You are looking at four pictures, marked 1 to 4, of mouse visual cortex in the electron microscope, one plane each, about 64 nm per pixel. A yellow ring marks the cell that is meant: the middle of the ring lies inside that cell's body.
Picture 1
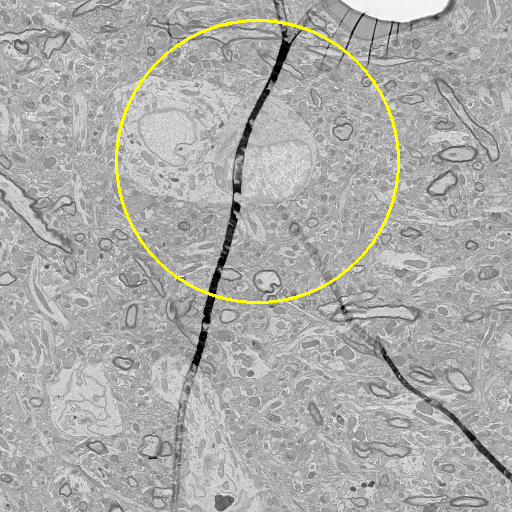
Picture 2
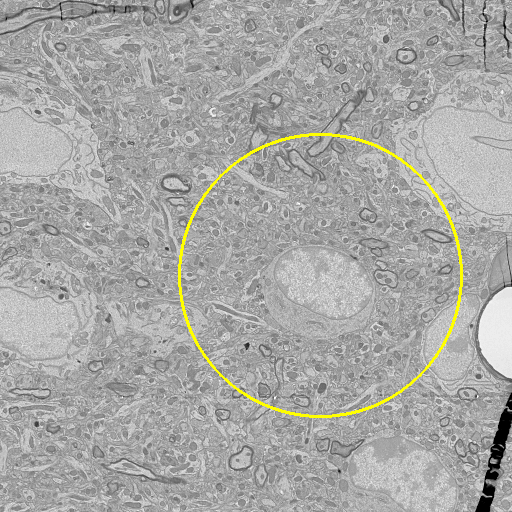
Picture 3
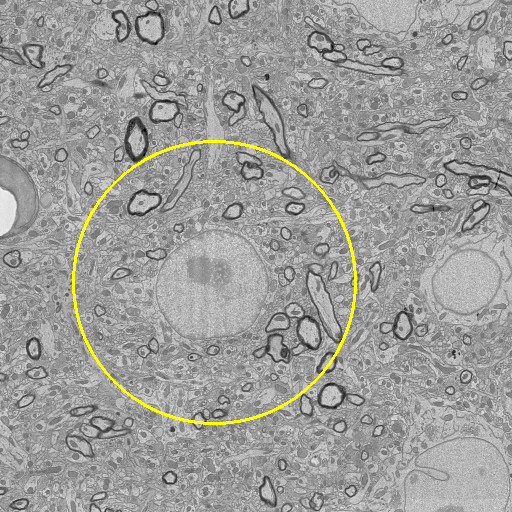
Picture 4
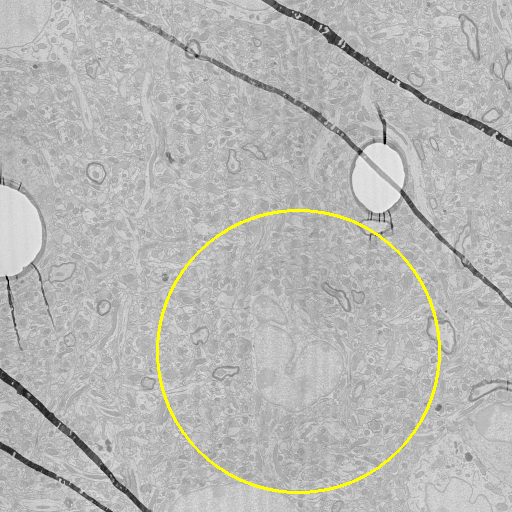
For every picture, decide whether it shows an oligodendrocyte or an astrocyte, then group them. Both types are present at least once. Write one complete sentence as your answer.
Pictures 1 and 2 show oligodendrocytes, and pictures 3 and 4 show astrocytes.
